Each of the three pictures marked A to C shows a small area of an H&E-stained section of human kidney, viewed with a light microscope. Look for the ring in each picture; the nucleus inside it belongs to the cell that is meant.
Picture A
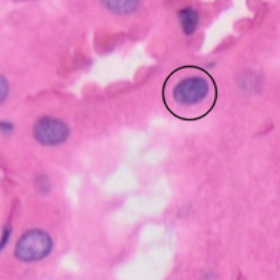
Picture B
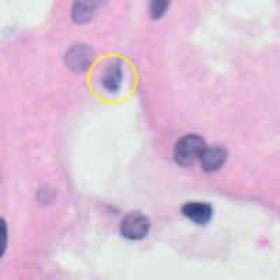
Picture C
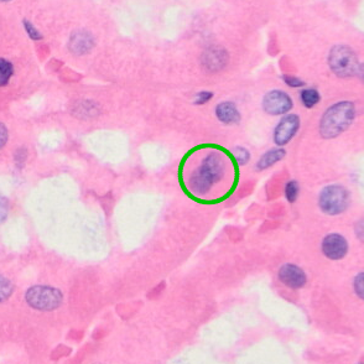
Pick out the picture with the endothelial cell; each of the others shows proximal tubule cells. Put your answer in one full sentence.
The endothelial cell is the one in picture B.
